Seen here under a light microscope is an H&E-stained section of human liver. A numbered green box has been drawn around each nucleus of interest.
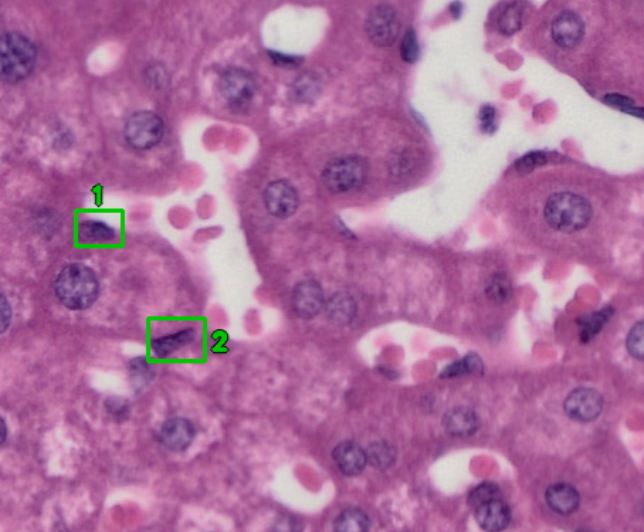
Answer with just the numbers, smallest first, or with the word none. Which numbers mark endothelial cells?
1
